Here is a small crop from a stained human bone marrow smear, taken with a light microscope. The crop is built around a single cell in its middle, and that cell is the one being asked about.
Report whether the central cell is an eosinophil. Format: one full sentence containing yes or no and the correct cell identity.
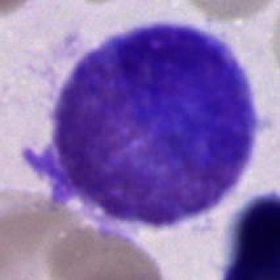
Yes, as for the central cell, it is an eosinophil.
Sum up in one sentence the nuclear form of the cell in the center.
There is one compact nucleus, and its shape is round, oval or kidney-like.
